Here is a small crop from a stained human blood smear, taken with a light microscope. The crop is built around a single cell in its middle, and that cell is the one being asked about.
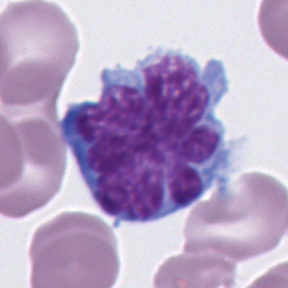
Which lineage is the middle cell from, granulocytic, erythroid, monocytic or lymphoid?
monocytic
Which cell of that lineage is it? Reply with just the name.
monocyte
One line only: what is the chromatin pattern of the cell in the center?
Just so you know, its chromatin is coarsely clumped.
